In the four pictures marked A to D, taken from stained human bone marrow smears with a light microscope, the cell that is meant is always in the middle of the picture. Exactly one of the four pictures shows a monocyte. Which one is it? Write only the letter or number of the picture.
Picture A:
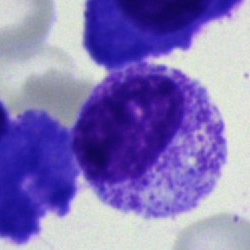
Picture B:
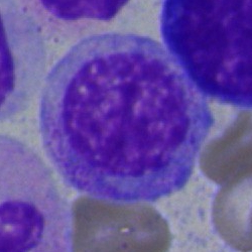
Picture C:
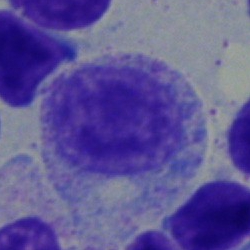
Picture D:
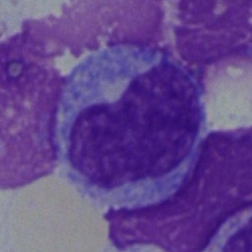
D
